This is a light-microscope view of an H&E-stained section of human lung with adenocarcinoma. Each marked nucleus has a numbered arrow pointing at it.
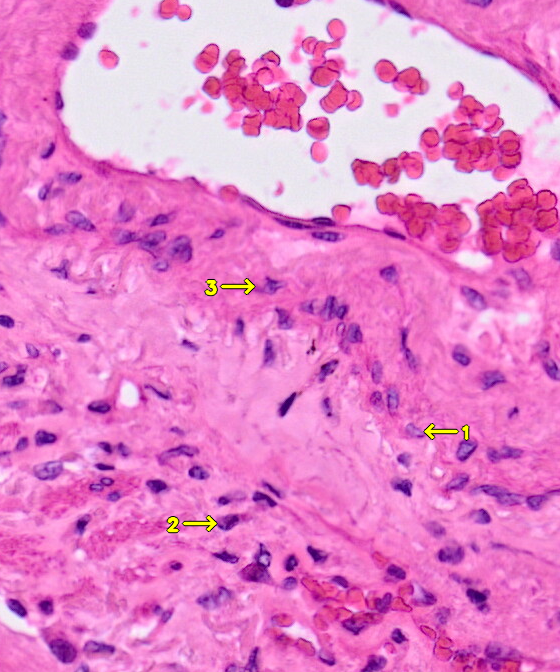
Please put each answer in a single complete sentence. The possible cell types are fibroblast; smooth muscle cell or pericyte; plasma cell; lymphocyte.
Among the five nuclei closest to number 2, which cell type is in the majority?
Most of the five nuclei nearest to number 2 are those of fibroblasts.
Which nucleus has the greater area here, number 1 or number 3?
Nucleus 3 covers more area, about 1.5 times as much as nucleus 1.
